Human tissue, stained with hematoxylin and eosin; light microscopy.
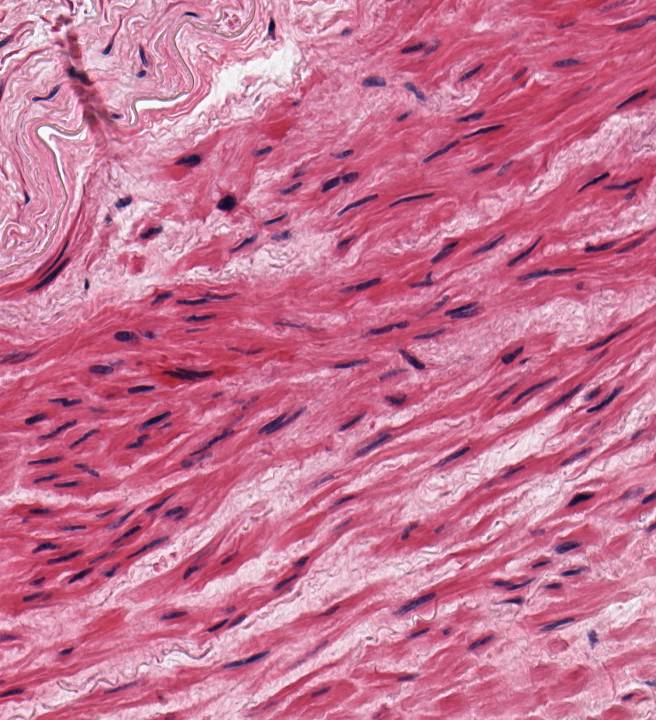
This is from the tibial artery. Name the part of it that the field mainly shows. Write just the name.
tunica media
